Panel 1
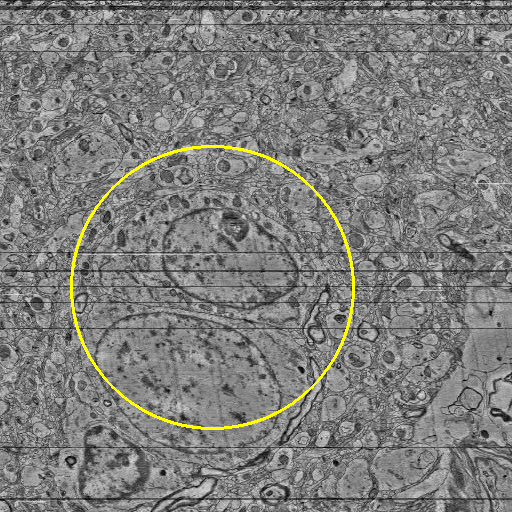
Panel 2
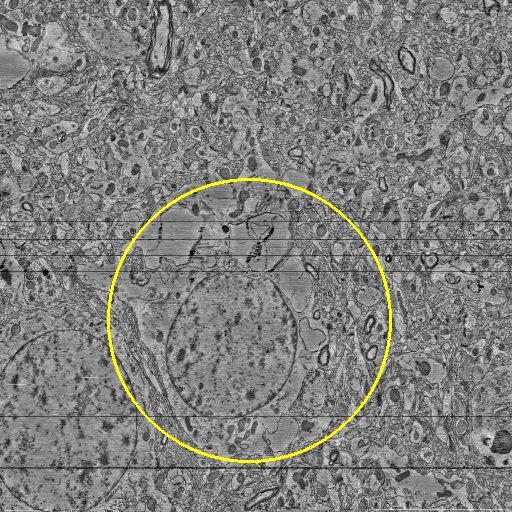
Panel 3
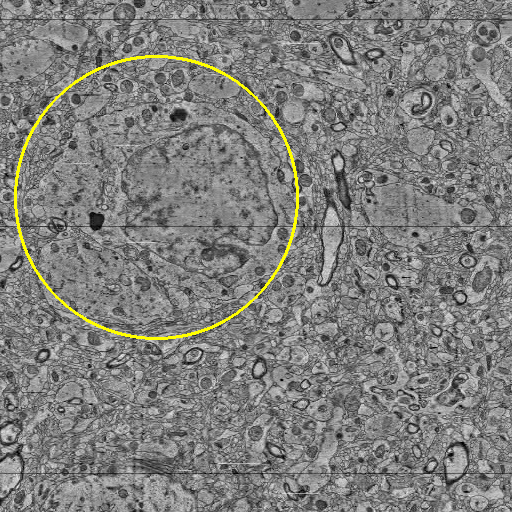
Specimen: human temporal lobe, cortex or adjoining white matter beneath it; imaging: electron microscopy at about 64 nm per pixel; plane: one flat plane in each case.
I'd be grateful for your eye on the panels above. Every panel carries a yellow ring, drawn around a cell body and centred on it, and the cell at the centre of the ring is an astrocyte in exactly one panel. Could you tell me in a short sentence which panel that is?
Panel 2 is the one with it at the centre of the ring.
